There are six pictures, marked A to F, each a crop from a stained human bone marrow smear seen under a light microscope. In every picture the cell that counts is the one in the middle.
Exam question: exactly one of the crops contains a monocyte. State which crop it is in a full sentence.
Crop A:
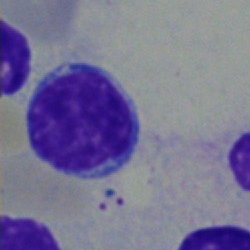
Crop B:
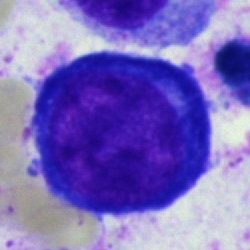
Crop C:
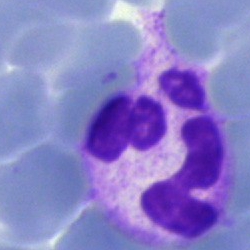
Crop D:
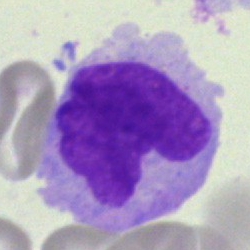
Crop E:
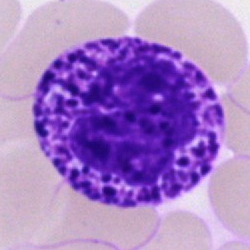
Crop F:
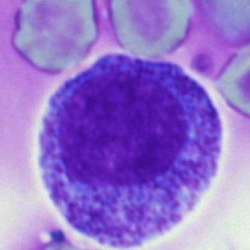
The one showing a monocyte is the crop labelled D.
